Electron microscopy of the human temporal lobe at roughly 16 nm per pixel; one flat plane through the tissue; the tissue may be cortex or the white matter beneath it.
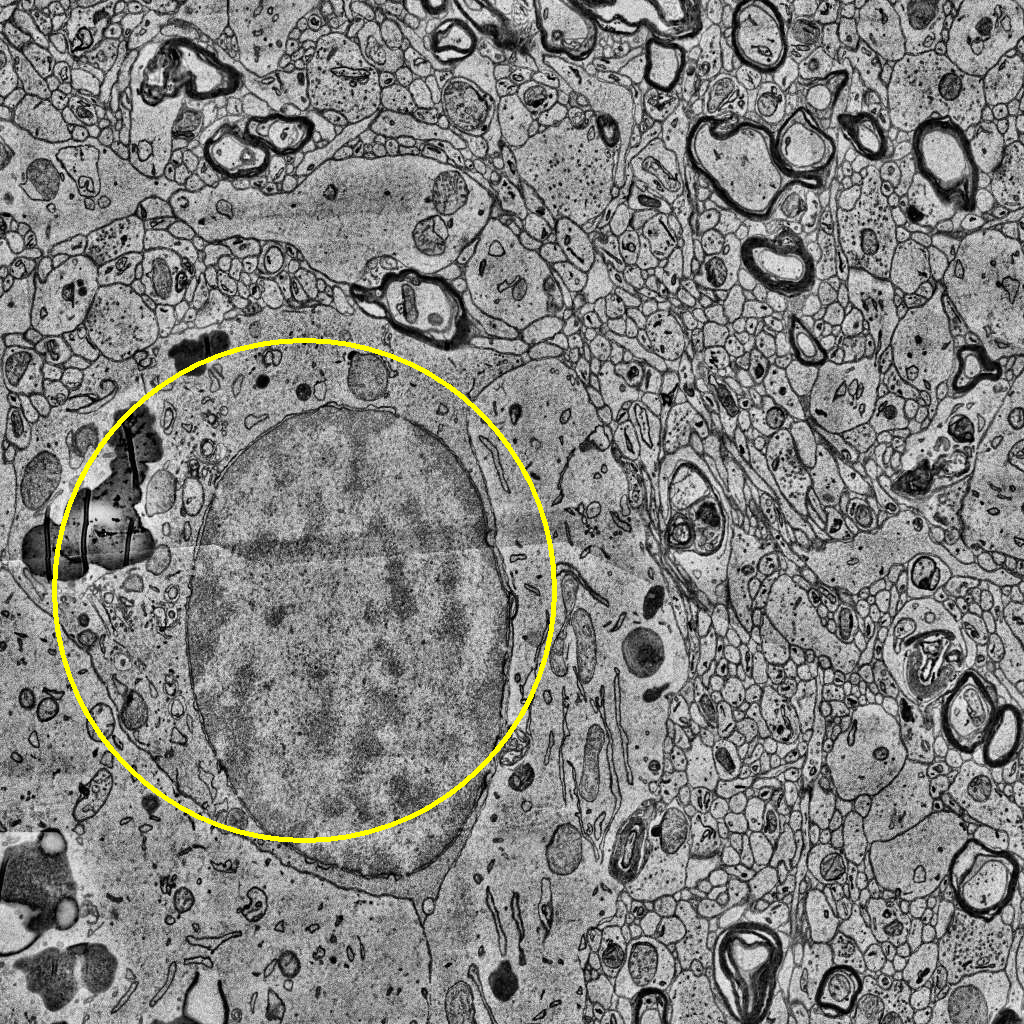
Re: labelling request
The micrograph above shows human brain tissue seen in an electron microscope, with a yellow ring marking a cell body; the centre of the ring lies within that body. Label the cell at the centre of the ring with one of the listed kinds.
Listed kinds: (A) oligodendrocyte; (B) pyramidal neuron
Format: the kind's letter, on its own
A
